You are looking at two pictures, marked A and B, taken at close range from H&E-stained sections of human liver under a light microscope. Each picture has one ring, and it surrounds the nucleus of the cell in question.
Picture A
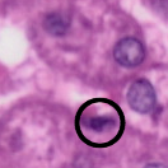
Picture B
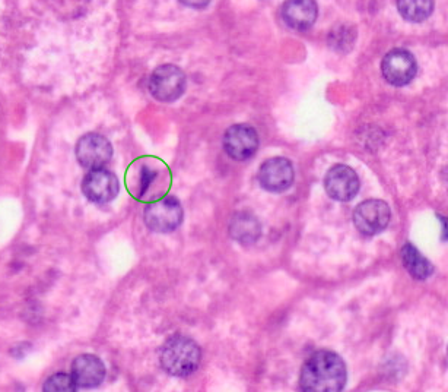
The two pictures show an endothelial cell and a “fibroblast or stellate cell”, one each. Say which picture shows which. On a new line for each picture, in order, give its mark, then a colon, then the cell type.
A: endothelial cell
B: fibroblast or stellate cell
